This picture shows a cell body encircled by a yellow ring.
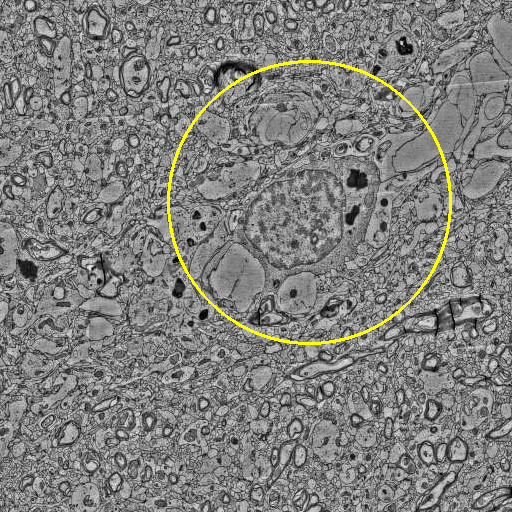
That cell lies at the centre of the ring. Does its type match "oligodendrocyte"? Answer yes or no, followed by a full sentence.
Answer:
Yes, in the picture, the ring surrounds a cell of that type at its centre.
